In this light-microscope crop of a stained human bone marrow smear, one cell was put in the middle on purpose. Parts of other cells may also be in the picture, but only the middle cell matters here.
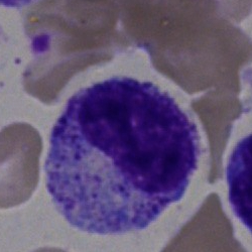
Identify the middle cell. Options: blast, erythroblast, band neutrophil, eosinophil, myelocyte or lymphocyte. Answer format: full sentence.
Occupying the centre of the crop is a myelocyte.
